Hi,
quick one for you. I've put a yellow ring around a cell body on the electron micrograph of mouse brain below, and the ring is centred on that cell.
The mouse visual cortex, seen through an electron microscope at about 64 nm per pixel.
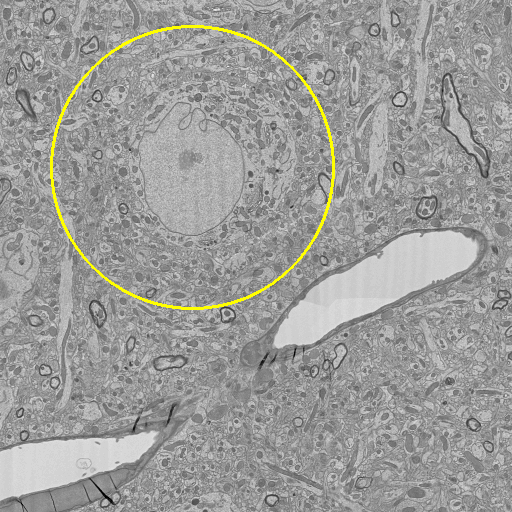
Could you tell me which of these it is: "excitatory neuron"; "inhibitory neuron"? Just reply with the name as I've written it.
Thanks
inhibitory neuron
